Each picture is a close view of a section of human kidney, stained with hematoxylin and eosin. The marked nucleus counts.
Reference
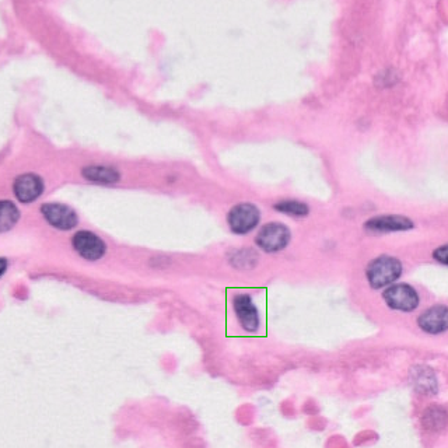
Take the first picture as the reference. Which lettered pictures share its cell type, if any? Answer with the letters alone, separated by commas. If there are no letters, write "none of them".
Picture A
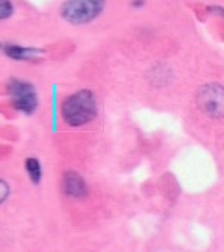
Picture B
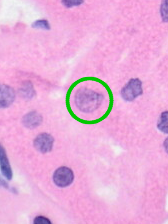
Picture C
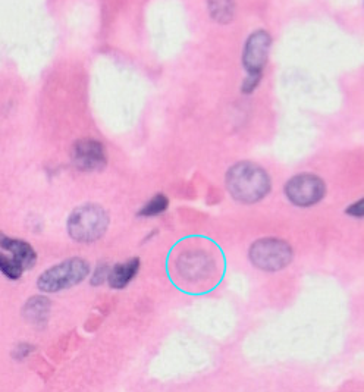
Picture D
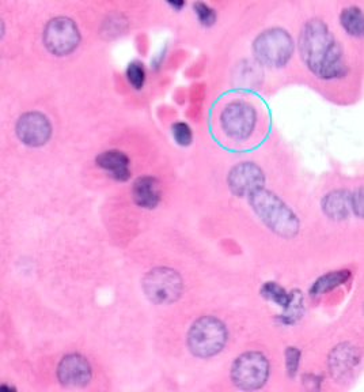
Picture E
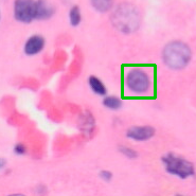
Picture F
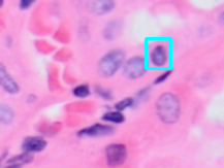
none of them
